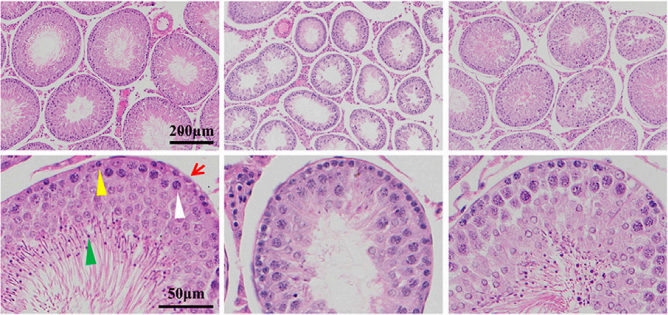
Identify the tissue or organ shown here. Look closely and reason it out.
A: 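Seminiferous tubules. Round to oval tubule cross-sections packed side by side. Each tubule has a stratified cellular lining around a central lumen.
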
